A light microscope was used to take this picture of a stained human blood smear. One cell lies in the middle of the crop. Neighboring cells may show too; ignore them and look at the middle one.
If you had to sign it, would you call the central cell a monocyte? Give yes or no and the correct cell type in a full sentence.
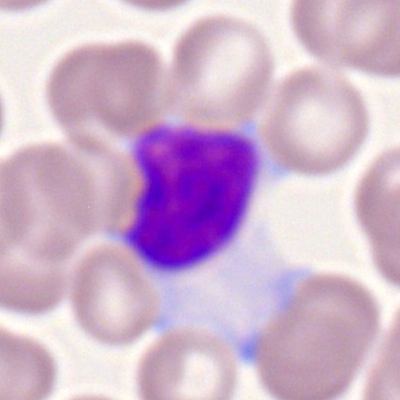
No, the cell at the center of this crop is a lymphocyte instead of a monocyte.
